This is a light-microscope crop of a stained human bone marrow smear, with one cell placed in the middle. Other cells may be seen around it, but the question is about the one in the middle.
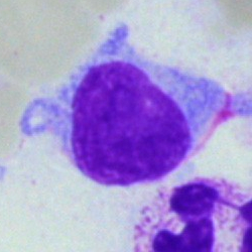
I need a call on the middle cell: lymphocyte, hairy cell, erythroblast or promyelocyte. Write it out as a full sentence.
The crop centres on a single cell, and that cell is a hairy cell.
